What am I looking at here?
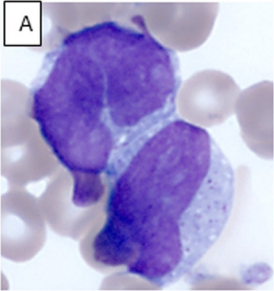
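Two large lymphoid cells in a blood smear, each several times the size of the neighbouring red cells. Nuclei are large, purple and highly contoured, with deep folds and indentations giving lobed, irregular outlines; the chromatin is fairly fine. A moderate rim of pale grey-blue cytoplasm surrounds each nucleus, with a few fine purple granules in one cell. The cells lie pressed against each other among pale pink red cells; a small platelet fragment lies at the margin.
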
